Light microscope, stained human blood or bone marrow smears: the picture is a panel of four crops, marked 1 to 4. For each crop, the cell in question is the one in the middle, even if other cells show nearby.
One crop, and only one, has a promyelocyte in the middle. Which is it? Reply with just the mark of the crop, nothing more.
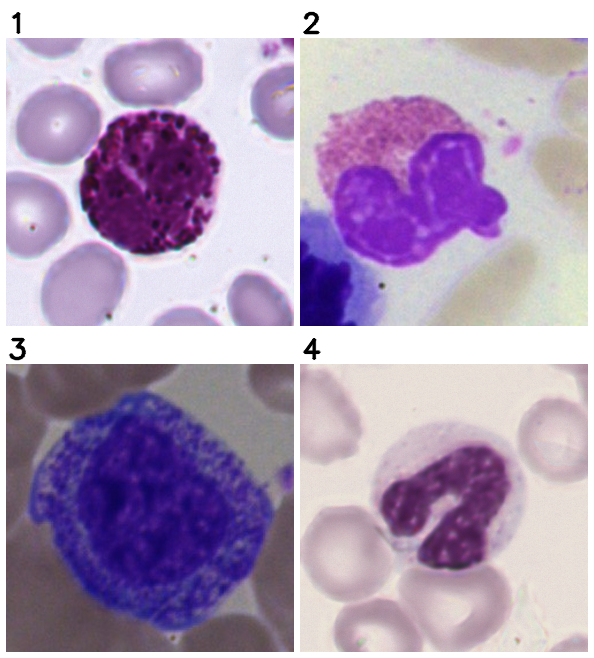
3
